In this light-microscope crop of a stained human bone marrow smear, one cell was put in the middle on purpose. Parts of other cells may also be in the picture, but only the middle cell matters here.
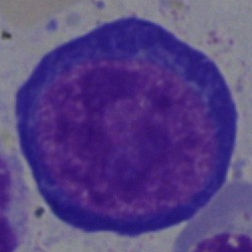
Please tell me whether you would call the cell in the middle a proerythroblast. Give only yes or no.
yes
